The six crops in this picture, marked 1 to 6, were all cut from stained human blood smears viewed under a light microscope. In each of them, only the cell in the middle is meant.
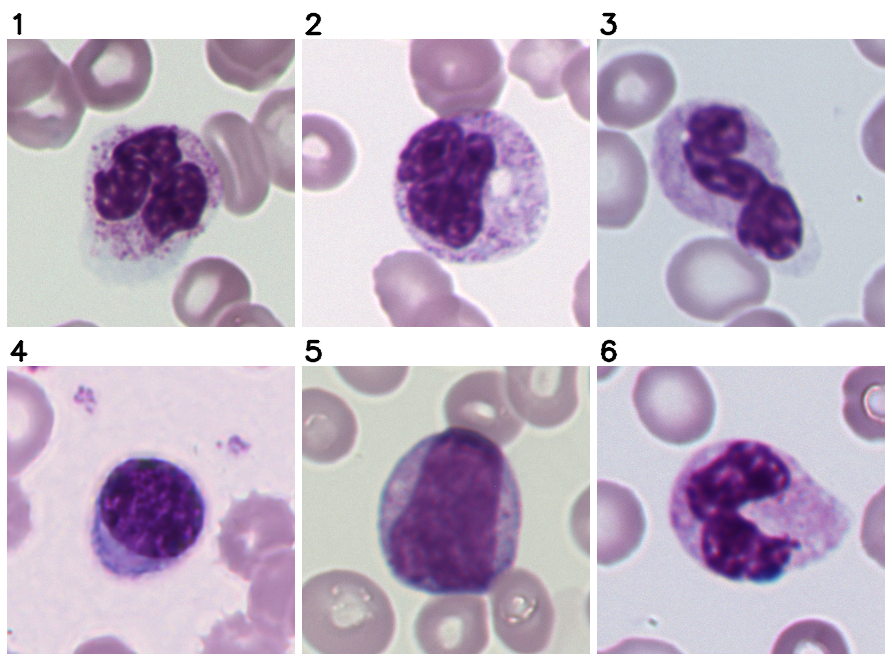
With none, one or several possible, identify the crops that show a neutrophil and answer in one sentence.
The cells being asked about in crops 1, 2, 3 and 6 are neutrophils.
